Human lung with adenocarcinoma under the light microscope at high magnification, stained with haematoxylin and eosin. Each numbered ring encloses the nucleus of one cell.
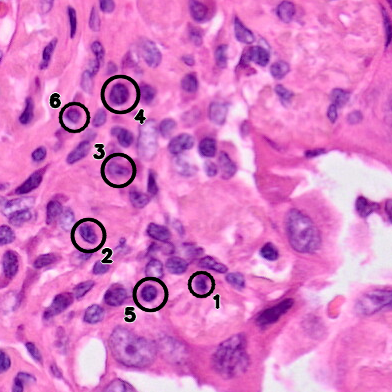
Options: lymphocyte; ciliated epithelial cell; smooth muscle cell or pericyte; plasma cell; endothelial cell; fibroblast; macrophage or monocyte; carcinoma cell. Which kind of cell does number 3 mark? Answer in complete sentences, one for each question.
Looking at the numbered marks, cell 3 is a plasma cell.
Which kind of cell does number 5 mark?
The marked cell bearing number 5 is a lymphocyte.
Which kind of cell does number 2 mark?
In this section, number 2 marks a lymphocyte.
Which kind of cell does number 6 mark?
As for number 6, that cell is a plasma cell.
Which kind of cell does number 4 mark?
In the marked set, the cell given number 4 is a plasma cell.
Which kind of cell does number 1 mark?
The cell bearing label 1 corresponds to a lymphocyte.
